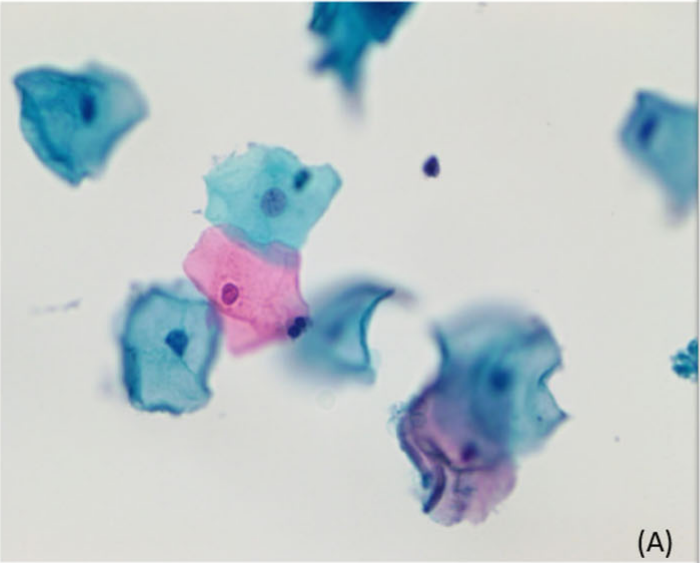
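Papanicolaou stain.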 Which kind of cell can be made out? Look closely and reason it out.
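Cytoplasm is abundant and stains blue-green or pink.
Answer: Normal Squamous cells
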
